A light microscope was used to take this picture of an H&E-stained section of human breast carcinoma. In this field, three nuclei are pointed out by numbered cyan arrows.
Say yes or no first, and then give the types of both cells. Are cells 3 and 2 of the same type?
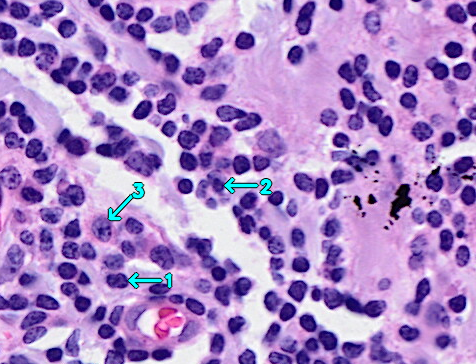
No, cell 3 is a mast cell and cell 2 is a lymphocyte.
